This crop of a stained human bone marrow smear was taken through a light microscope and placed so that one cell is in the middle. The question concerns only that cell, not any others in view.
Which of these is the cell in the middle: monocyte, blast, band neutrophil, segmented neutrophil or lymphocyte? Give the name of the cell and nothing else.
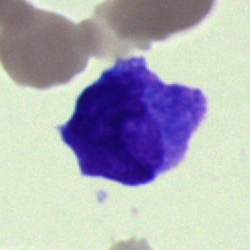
blast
